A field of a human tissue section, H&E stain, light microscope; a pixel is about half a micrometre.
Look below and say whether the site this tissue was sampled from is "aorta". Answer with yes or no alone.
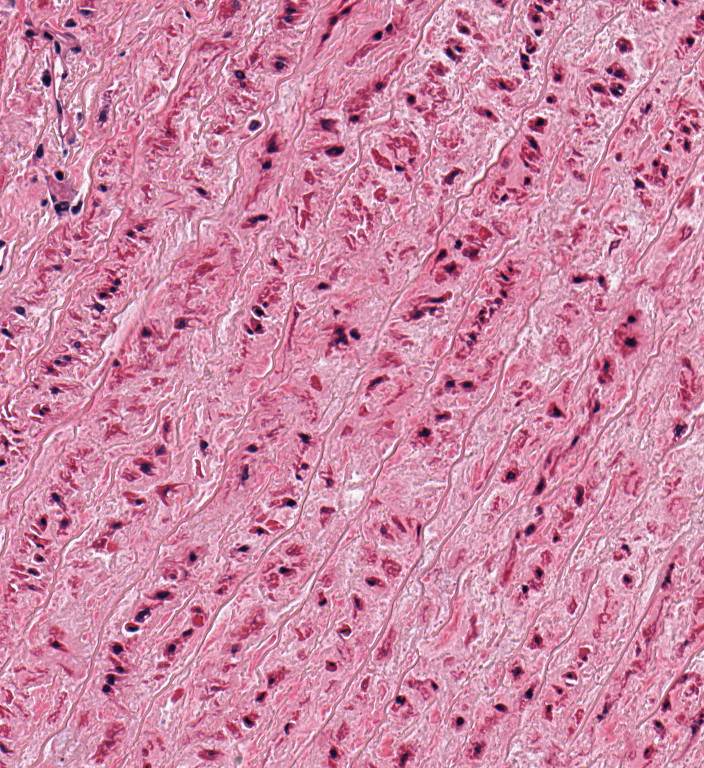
yes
